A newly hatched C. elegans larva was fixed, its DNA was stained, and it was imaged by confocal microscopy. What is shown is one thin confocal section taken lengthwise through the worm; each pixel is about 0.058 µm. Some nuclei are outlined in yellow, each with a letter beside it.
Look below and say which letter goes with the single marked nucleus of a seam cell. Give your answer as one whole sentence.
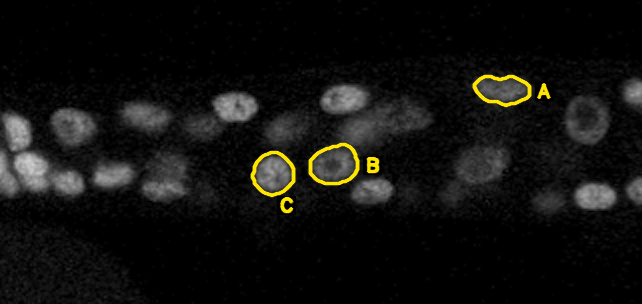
Nucleus B belongs to a seam cell.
